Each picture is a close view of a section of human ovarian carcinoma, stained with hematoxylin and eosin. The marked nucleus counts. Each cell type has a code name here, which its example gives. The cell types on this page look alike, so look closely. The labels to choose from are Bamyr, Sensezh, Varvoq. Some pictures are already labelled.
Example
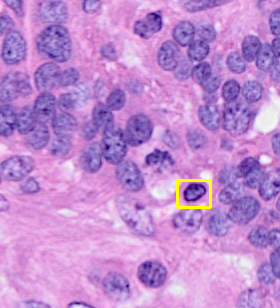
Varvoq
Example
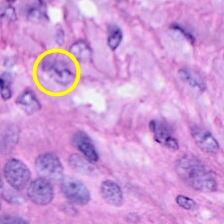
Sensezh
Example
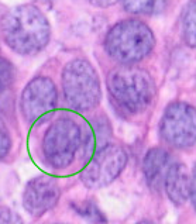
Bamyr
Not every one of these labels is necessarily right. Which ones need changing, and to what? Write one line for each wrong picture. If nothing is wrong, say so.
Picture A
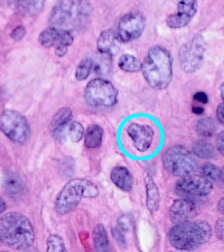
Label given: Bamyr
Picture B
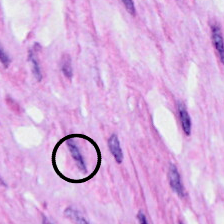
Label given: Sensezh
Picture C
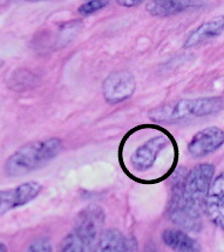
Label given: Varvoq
A: change Bamyr to Varvoq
